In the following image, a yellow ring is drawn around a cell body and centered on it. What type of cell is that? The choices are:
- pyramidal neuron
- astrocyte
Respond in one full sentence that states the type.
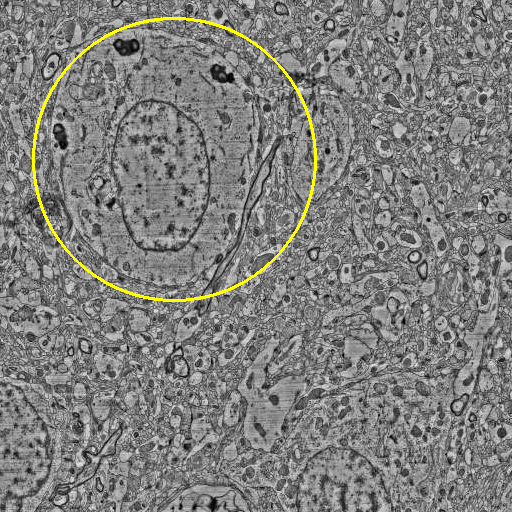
The cell at the center of the yellow ring in the image is a pyramidal neuron.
